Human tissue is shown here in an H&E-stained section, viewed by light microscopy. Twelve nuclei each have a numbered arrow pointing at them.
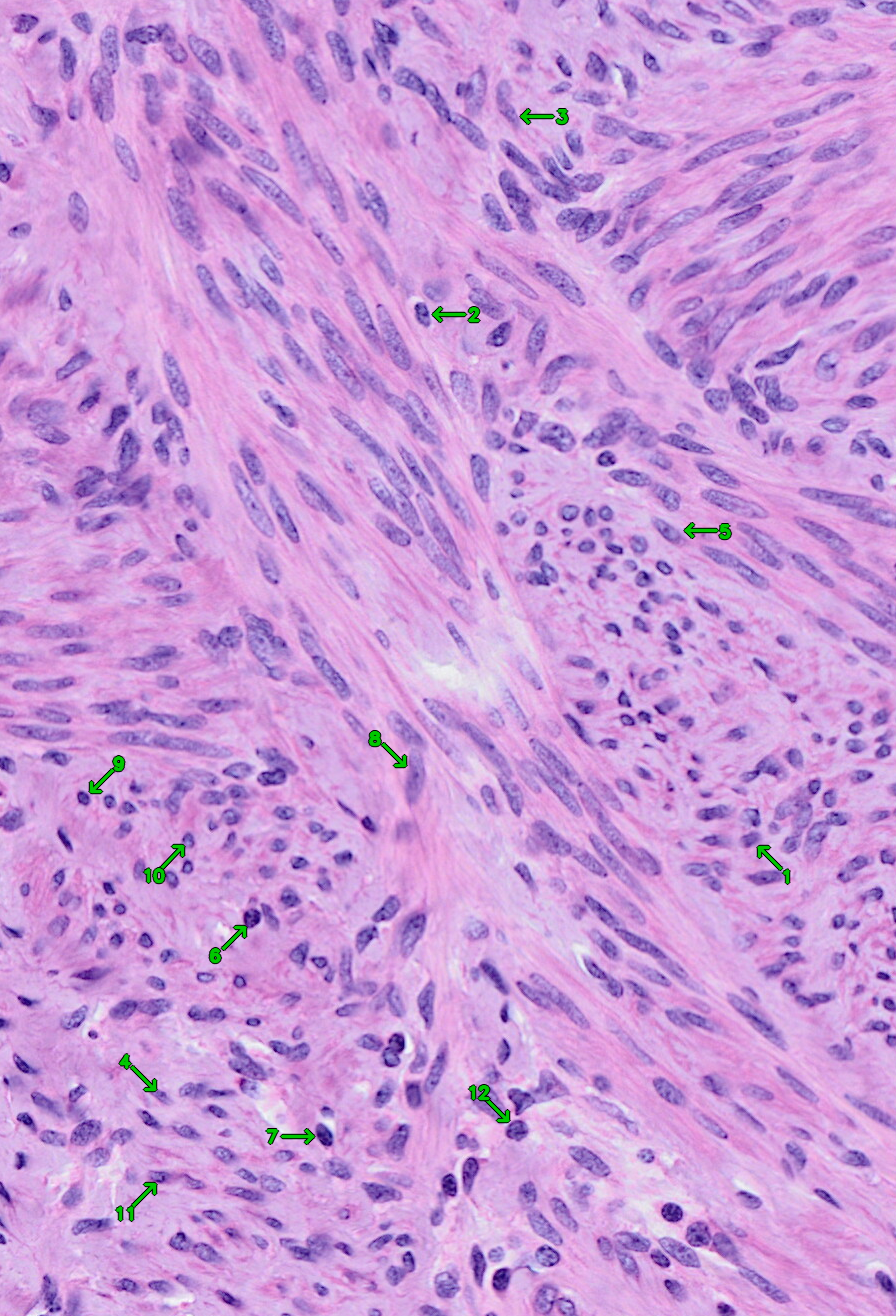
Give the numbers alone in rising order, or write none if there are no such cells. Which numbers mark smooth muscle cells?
1, 3, 4, 5, 9, 10, 11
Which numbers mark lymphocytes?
2, 6, 7, 12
